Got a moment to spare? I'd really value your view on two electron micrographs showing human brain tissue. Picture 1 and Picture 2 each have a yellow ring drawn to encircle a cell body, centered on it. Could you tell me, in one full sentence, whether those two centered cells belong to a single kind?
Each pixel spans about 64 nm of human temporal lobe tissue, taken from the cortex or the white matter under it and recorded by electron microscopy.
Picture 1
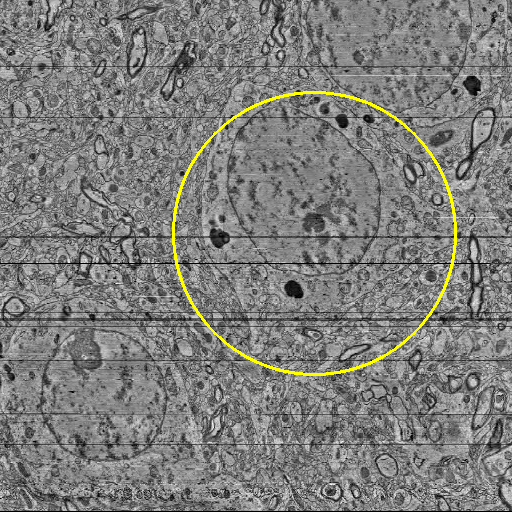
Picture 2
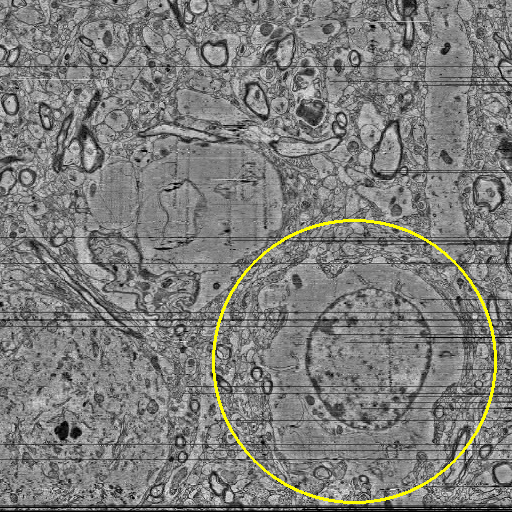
No, the two centered cells in Picture 1 and Picture 2 are of two kinds.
